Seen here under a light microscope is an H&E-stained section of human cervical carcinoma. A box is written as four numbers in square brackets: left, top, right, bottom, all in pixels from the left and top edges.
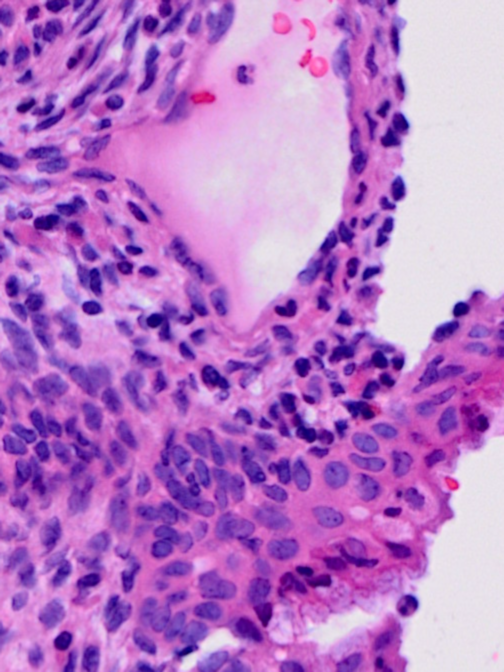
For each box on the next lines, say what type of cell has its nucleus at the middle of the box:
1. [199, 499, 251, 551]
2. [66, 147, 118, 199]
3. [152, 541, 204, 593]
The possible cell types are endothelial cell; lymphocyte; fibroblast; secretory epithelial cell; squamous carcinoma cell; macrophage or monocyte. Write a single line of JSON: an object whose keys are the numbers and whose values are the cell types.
{"1": "secretory epithelial cell", "2": "endothelial cell", "3": "secretory epithelial cell"}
